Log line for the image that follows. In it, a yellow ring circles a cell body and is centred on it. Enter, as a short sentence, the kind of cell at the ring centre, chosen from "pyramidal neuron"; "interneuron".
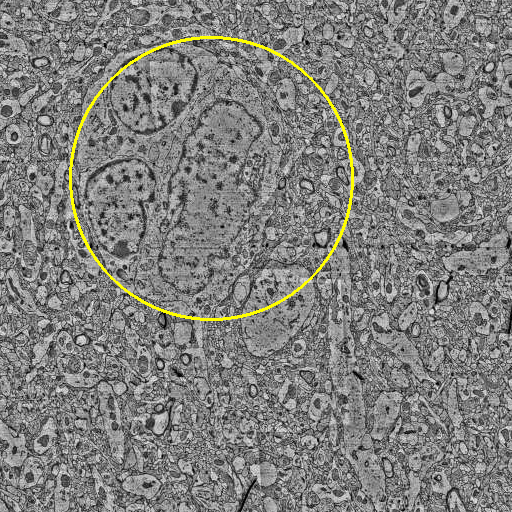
The ring centre is occupied by an interneuron.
